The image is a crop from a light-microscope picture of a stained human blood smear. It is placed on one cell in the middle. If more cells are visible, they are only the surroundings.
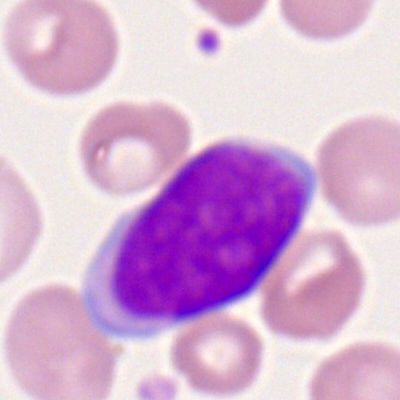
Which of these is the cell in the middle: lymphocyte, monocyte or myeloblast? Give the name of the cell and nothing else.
myeloblast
